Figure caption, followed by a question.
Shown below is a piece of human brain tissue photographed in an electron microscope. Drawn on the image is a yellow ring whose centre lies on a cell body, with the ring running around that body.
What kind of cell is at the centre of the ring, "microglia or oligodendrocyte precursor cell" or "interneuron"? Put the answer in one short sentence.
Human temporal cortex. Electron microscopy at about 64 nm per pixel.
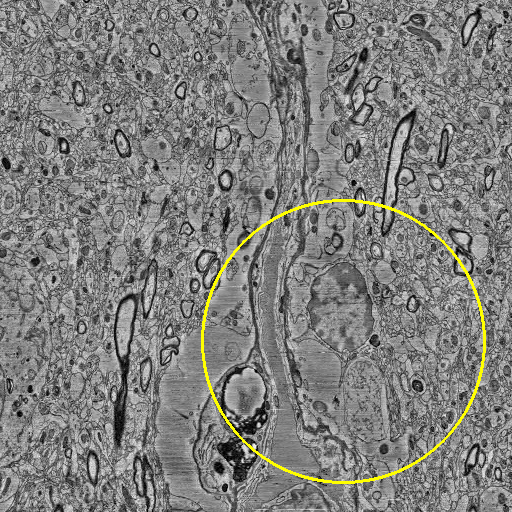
The ring marks the cell body of a microglial cell or oligodendrocyte precursor cell.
